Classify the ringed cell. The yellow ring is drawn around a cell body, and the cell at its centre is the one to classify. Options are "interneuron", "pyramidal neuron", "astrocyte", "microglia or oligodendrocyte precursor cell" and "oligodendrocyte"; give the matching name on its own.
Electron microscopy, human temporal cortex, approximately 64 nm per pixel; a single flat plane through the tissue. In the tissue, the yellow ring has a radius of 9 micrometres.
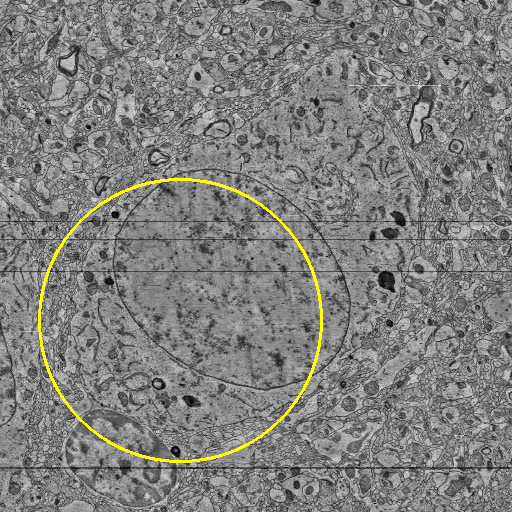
pyramidal neuron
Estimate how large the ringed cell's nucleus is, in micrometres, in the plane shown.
Approximately 16 x 13 micrometres in this plane.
